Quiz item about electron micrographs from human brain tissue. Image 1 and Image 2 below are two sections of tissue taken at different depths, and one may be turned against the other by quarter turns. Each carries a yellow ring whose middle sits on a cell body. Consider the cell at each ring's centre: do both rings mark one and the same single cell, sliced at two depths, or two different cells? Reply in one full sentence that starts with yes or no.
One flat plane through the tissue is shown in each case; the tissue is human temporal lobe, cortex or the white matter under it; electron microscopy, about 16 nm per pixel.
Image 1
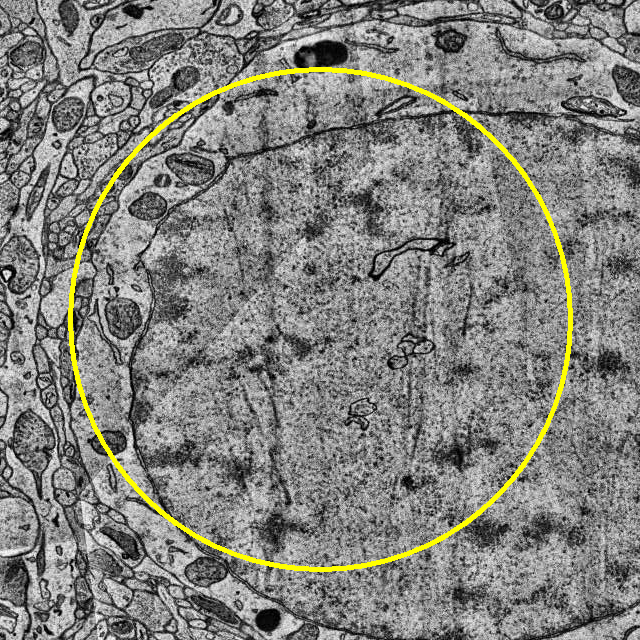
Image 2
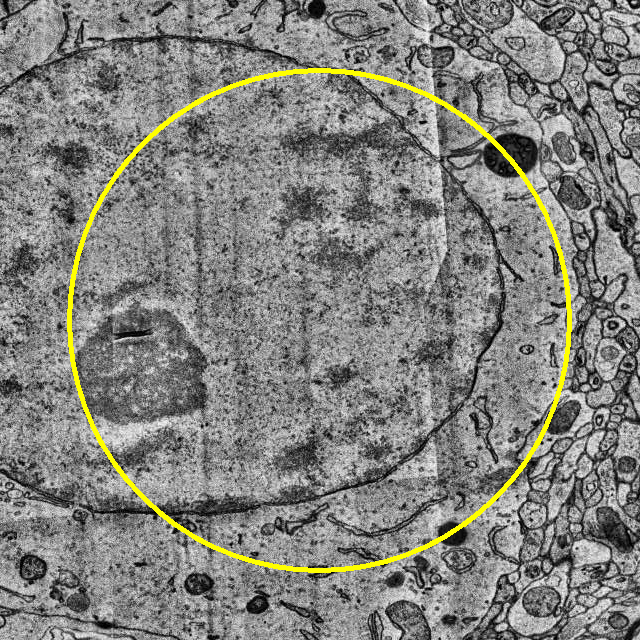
Yes, a single cell lies behind both yellow marks.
